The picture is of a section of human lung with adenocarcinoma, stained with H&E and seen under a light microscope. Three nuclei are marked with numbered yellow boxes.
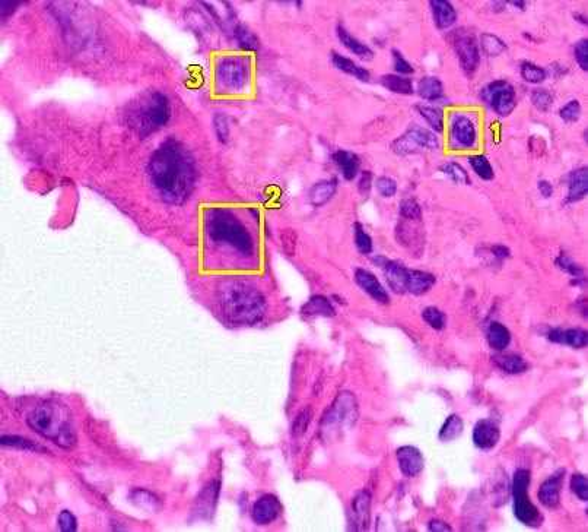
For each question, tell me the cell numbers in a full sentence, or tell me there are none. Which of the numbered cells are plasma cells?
Cell 3 represents a plasma cell, and no other numbered cell does.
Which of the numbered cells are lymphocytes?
No marked cell except number 1 is a lymphocyte.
